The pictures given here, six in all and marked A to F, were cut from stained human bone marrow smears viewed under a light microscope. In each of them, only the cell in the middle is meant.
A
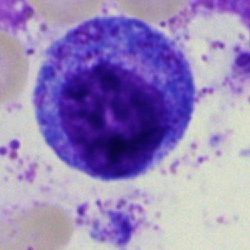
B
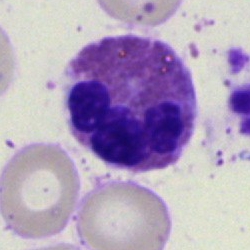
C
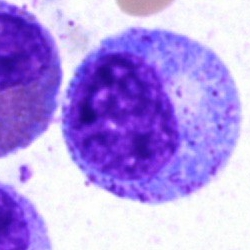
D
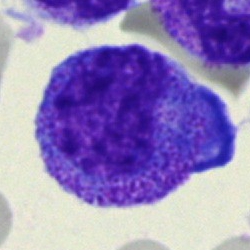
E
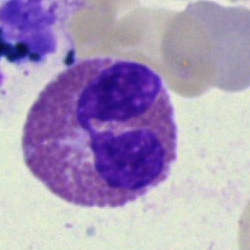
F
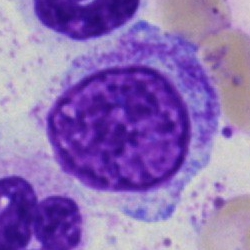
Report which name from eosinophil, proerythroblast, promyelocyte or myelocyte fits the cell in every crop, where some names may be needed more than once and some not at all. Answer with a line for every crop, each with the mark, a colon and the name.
A: promyelocyte
B: eosinophil
C: promyelocyte
D: promyelocyte
E: eosinophil
F: myelocyte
